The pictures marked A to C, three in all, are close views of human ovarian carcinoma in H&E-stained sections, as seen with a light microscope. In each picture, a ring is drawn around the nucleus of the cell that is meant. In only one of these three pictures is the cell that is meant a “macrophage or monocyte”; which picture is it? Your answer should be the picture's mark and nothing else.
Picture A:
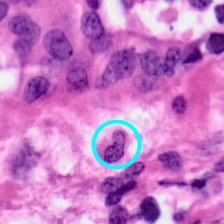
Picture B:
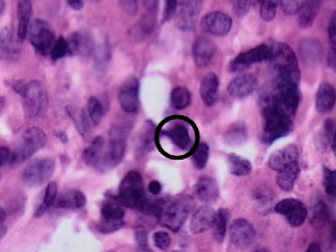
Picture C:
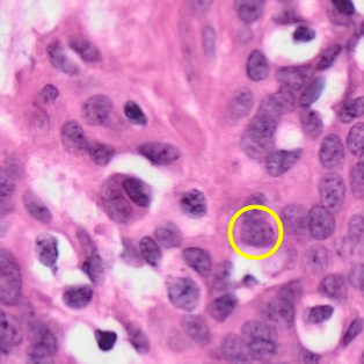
A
